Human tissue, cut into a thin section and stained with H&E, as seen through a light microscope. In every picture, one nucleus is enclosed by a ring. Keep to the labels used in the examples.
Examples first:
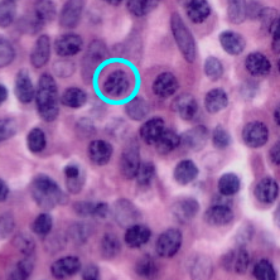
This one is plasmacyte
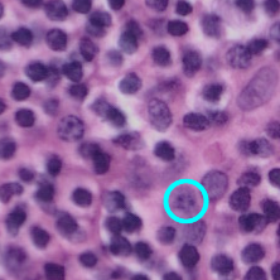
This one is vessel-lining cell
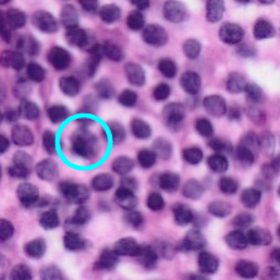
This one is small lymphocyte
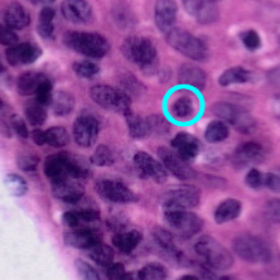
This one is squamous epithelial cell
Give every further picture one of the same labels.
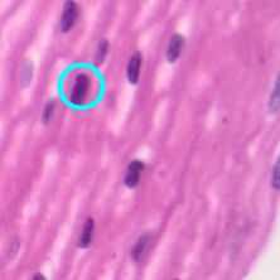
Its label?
squamous epithelial cell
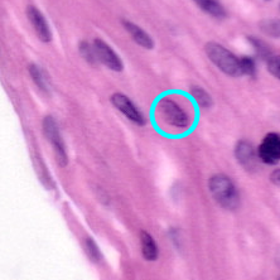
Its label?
squamous epithelial cell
